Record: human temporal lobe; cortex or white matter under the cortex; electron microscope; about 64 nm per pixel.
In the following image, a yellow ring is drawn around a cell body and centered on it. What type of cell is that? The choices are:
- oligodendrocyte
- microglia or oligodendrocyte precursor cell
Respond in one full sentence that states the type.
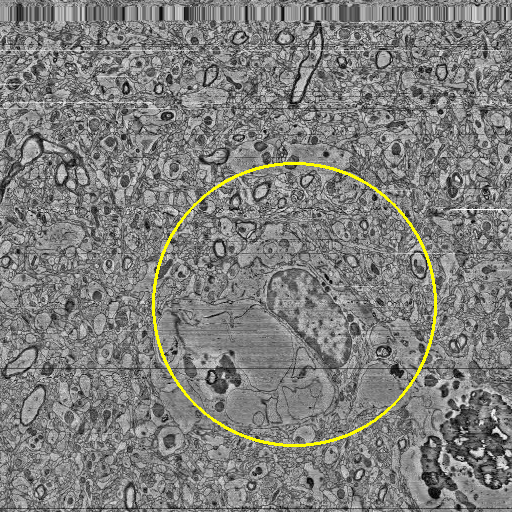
The cell at the center of the yellow ring in the image is a microglial cell or oligodendrocyte precursor cell.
